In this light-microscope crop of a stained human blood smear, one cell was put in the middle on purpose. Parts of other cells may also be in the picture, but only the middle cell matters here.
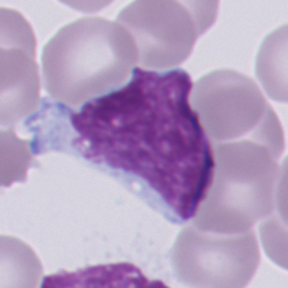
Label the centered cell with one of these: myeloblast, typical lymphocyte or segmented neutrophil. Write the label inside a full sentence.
What the crop centres on is a typical lymphocyte.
